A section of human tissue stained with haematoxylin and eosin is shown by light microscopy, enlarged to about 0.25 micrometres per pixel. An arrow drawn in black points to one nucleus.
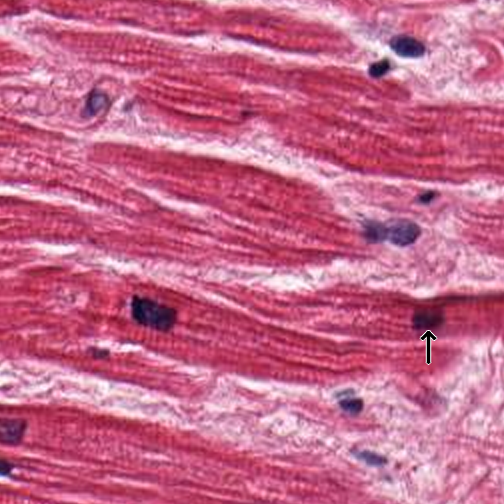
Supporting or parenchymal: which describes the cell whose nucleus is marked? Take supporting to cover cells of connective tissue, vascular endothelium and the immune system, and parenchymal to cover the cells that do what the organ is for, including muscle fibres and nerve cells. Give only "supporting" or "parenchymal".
parenchymal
